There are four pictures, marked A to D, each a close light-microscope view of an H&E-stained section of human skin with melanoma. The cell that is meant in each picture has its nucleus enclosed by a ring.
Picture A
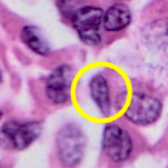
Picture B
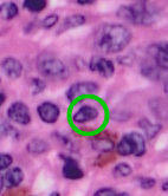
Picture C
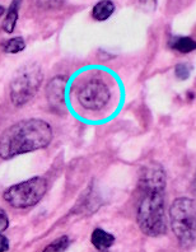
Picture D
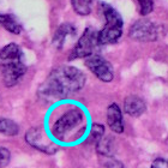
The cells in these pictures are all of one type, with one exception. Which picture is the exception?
B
